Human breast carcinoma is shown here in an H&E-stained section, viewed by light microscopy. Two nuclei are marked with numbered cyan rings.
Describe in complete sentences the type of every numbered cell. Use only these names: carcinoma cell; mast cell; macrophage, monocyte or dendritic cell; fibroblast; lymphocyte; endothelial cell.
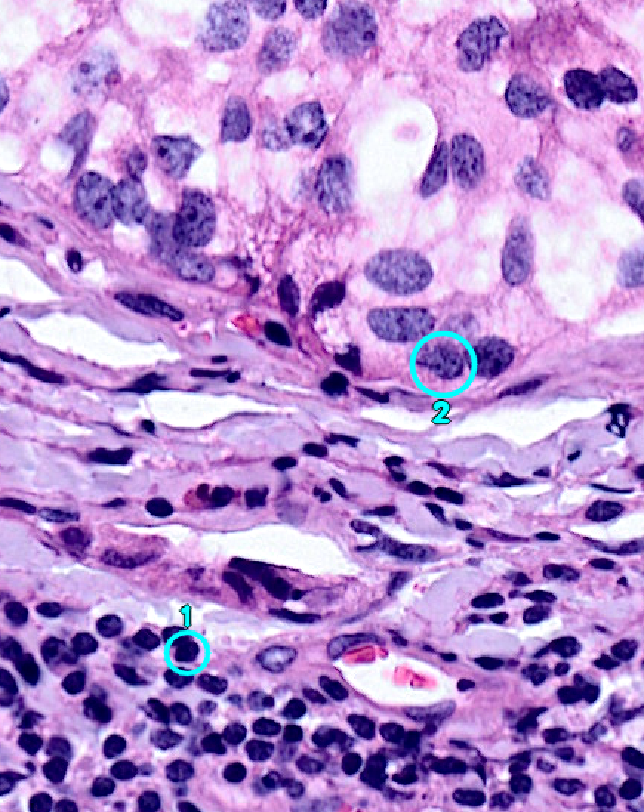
Cell 1 is a lymphocyte. Cell 2 is a carcinoma cell.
